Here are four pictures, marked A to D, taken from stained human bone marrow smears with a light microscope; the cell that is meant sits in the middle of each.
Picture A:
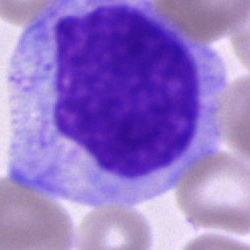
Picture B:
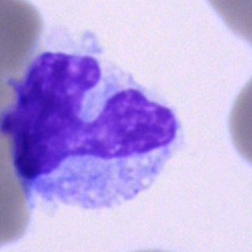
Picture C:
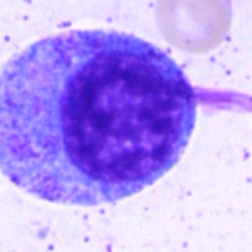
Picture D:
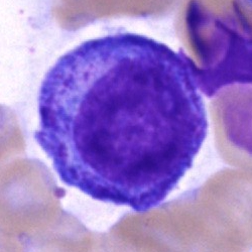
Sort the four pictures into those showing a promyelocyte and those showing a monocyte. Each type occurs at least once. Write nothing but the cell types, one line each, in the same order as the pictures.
promyelocyte
monocyte
promyelocyte
promyelocyte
